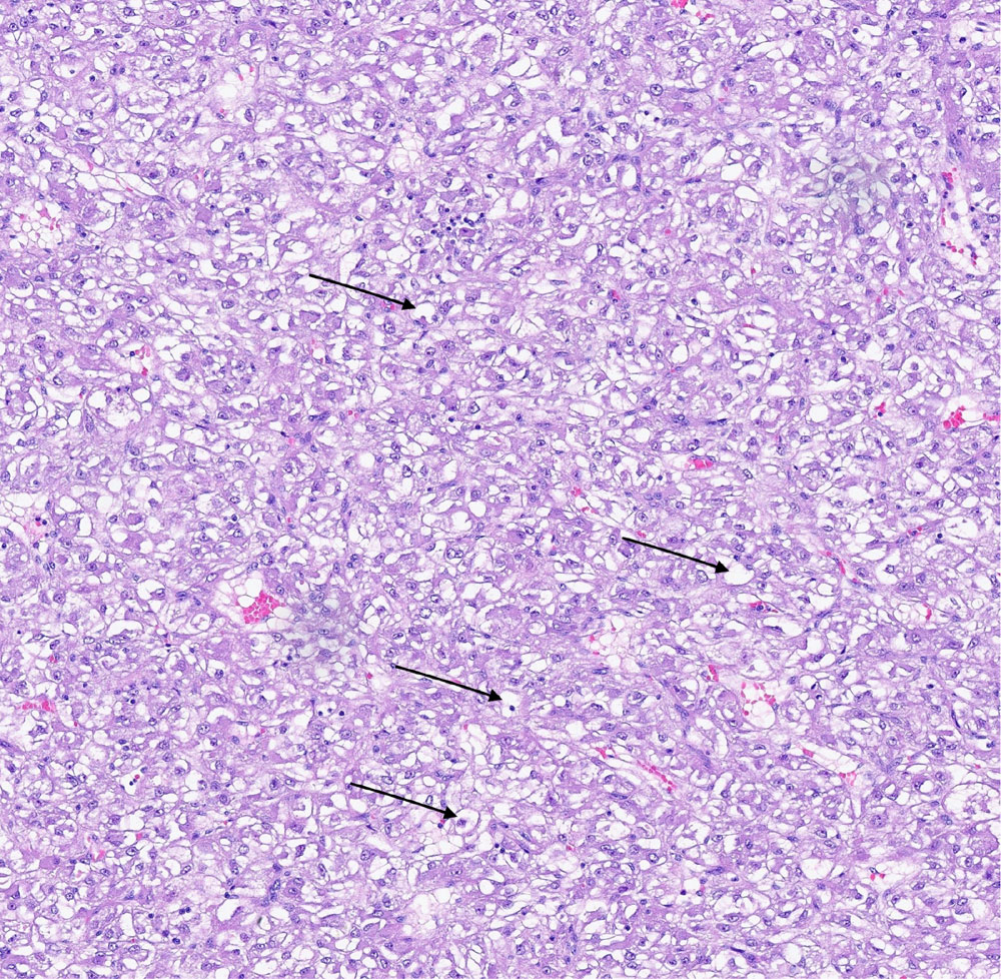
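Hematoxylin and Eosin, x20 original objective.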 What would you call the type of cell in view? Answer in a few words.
large epithelioid cells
